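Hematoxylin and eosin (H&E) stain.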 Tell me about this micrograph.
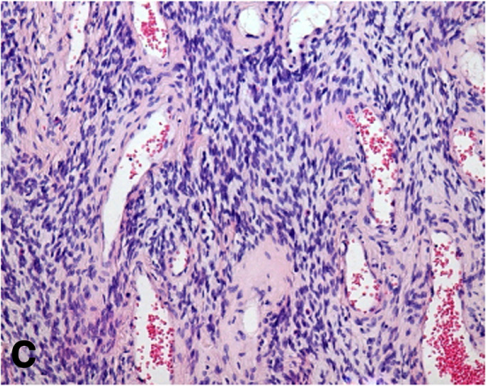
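Cellular mesenchymal tumor tissue made of densely packed spindle-shaped cells with elongated dark purple nuclei, arranged in streams and loose fascicles. Cell density varies from place to place, with denser bands beside paler, looser areas. Numerous small blood vessels run through the tissue, many slit-like or elongated, their lumina filled with bright red erythrocytes. Some pale pink, homogeneous collagen-rich areas lie around vessels. No glands or epithelium are seen.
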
